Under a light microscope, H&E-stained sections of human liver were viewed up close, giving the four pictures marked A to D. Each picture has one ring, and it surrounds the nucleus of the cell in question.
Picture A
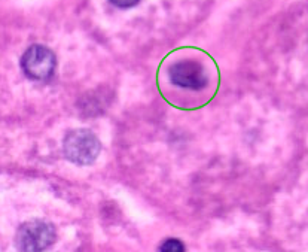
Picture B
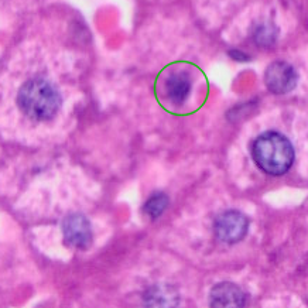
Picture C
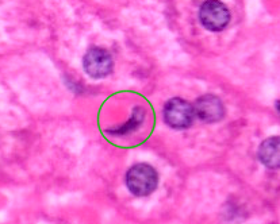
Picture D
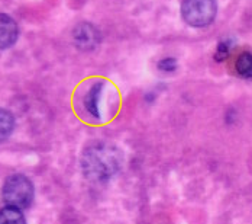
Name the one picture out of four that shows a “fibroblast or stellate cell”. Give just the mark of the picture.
B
